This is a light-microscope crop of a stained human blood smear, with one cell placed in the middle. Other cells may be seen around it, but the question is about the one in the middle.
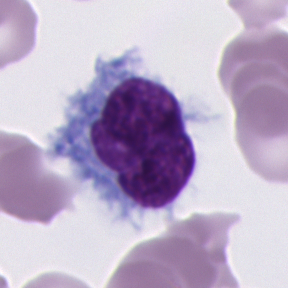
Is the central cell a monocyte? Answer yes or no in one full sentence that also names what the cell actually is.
No, rather than being a monocyte, the central cell is a hairy cell.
